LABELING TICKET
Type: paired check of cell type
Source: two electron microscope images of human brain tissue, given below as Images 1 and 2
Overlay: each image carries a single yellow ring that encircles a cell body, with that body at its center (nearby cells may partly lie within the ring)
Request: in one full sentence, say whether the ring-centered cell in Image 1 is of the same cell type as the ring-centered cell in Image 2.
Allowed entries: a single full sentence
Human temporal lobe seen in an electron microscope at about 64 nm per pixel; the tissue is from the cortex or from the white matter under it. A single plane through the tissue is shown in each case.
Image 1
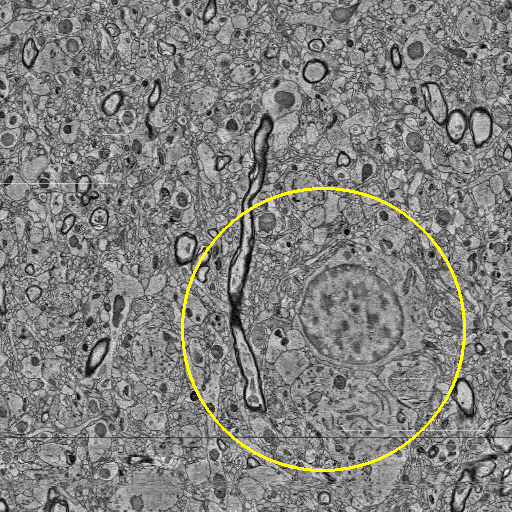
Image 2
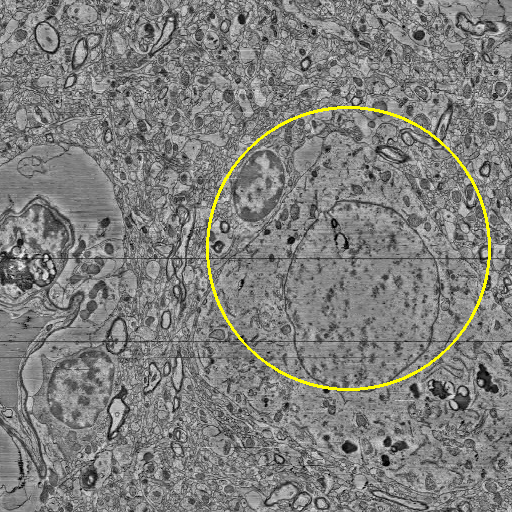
No, the cells centered in the rings of Image 1 and Image 2 are of two types.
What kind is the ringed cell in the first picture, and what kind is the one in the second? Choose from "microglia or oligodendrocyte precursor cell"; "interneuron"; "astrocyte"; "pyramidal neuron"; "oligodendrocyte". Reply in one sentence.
The first cell is an oligodendrocyte; the second is a pyramidal neuron.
